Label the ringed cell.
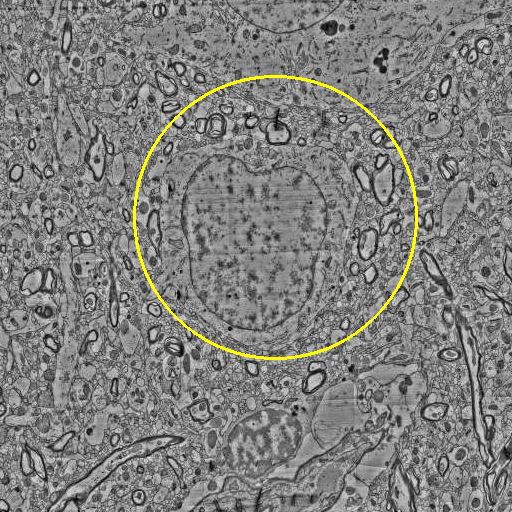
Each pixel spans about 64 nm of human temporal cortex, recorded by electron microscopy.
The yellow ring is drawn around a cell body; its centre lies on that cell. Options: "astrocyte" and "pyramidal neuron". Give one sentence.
The ringed cell is a pyramidal neuron.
